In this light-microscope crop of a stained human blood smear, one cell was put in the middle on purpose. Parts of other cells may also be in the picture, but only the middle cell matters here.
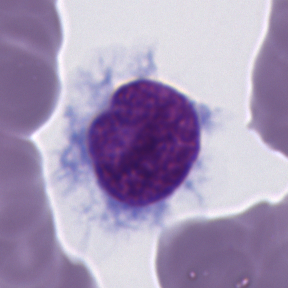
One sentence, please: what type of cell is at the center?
At the center of the crop sits a hairy cell.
